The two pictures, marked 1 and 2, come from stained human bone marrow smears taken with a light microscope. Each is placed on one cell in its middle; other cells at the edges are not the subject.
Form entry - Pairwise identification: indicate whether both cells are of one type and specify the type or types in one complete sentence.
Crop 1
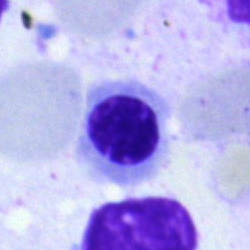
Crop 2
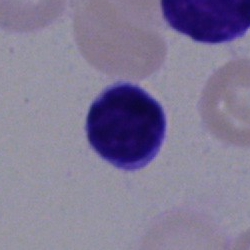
No, it is crop 1 that shows a normoblast, and crop 2 that shows a lymphocyte.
